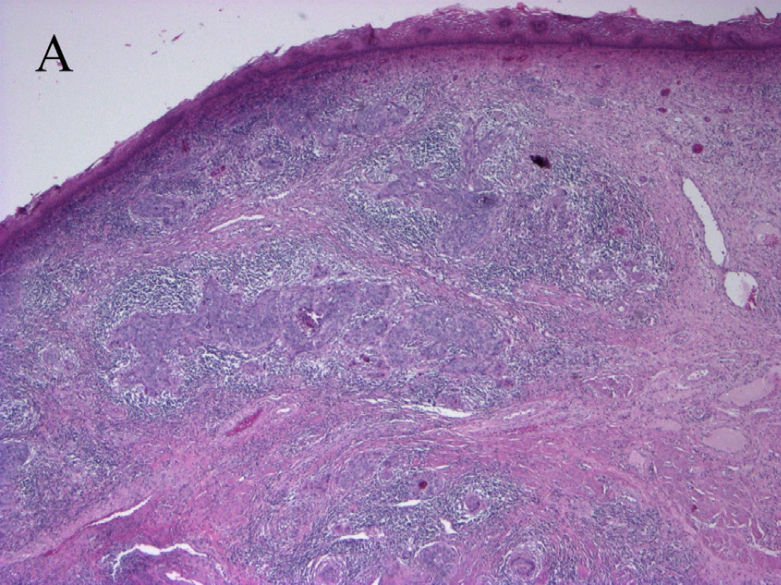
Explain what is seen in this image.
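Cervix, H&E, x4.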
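A thin layer of stratified squamous epithelium covers the top of the tissue. Below it, irregular nests and cords of crowded, purple-staining tumour cells infiltrate the underlying stroma. The nests are separated by bands of pink fibrous connective tissue that contain small blood vessels.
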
